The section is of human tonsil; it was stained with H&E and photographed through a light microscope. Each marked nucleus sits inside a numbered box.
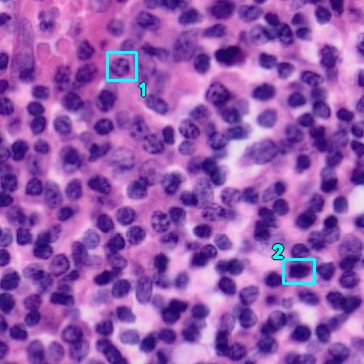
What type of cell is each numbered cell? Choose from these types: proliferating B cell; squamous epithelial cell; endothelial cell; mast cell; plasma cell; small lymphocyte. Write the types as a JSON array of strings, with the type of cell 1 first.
["plasma cell", "small lymphocyte"]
